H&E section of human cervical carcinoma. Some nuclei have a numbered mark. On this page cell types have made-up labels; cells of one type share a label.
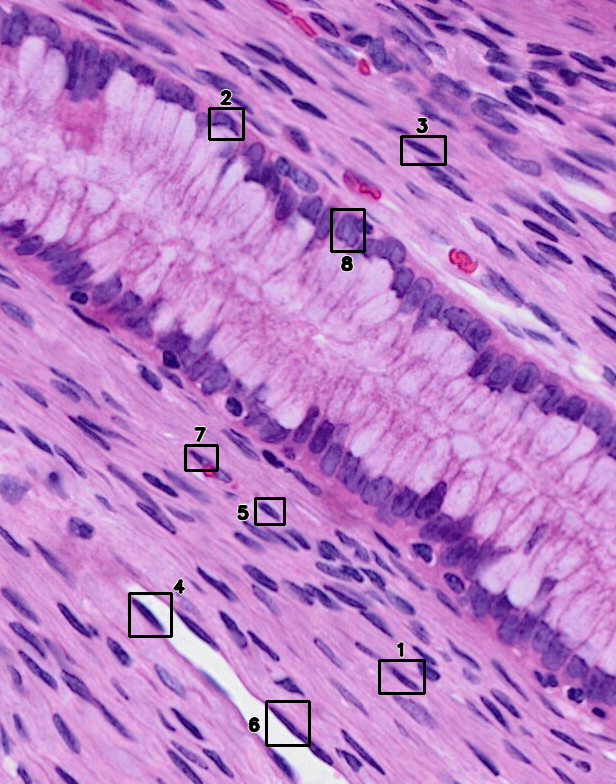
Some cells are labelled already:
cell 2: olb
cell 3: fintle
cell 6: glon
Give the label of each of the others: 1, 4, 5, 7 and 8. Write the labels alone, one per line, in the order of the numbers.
fintle
glon
fintle
glon
olb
